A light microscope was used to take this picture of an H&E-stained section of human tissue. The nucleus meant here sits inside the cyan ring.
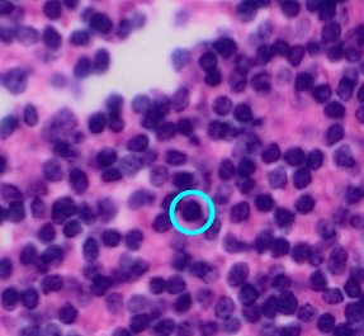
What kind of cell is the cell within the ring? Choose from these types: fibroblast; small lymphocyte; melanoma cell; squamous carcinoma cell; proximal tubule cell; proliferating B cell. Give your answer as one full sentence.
Cell type answer for this item: the cell within the ring is a small lymphocyte.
